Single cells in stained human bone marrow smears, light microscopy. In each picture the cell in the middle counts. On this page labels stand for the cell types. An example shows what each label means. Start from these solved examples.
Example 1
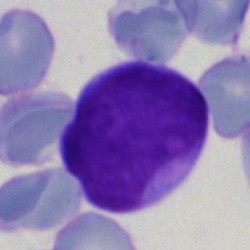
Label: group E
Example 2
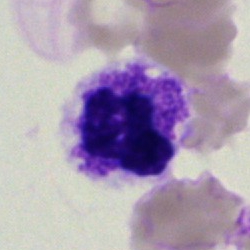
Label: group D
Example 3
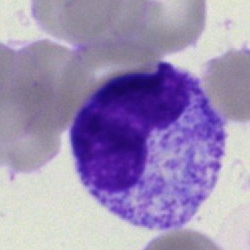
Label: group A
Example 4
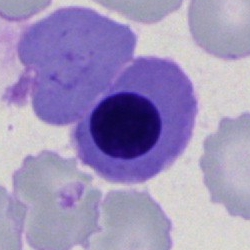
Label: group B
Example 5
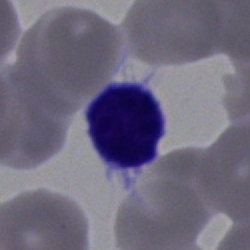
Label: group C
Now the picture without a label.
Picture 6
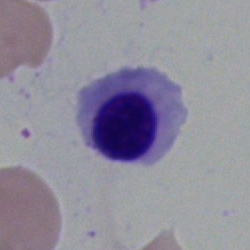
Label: group B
